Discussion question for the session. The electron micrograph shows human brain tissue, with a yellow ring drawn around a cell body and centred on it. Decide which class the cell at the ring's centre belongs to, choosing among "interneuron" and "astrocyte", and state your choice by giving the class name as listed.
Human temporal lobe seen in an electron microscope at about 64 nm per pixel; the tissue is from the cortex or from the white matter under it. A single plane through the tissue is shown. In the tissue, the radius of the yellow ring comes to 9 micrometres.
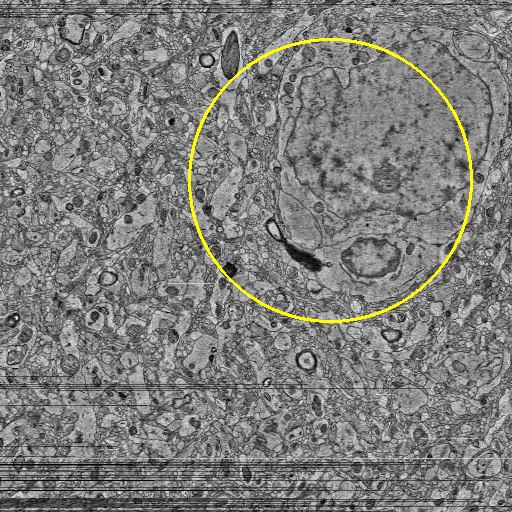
interneuron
